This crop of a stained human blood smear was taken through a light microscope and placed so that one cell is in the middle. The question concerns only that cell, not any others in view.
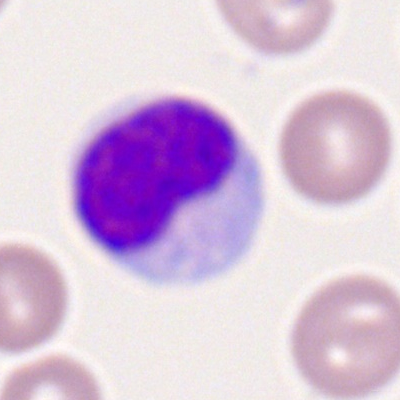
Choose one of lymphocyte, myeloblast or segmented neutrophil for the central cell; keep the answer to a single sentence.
On this slide crop, the central cell is a lymphocyte.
